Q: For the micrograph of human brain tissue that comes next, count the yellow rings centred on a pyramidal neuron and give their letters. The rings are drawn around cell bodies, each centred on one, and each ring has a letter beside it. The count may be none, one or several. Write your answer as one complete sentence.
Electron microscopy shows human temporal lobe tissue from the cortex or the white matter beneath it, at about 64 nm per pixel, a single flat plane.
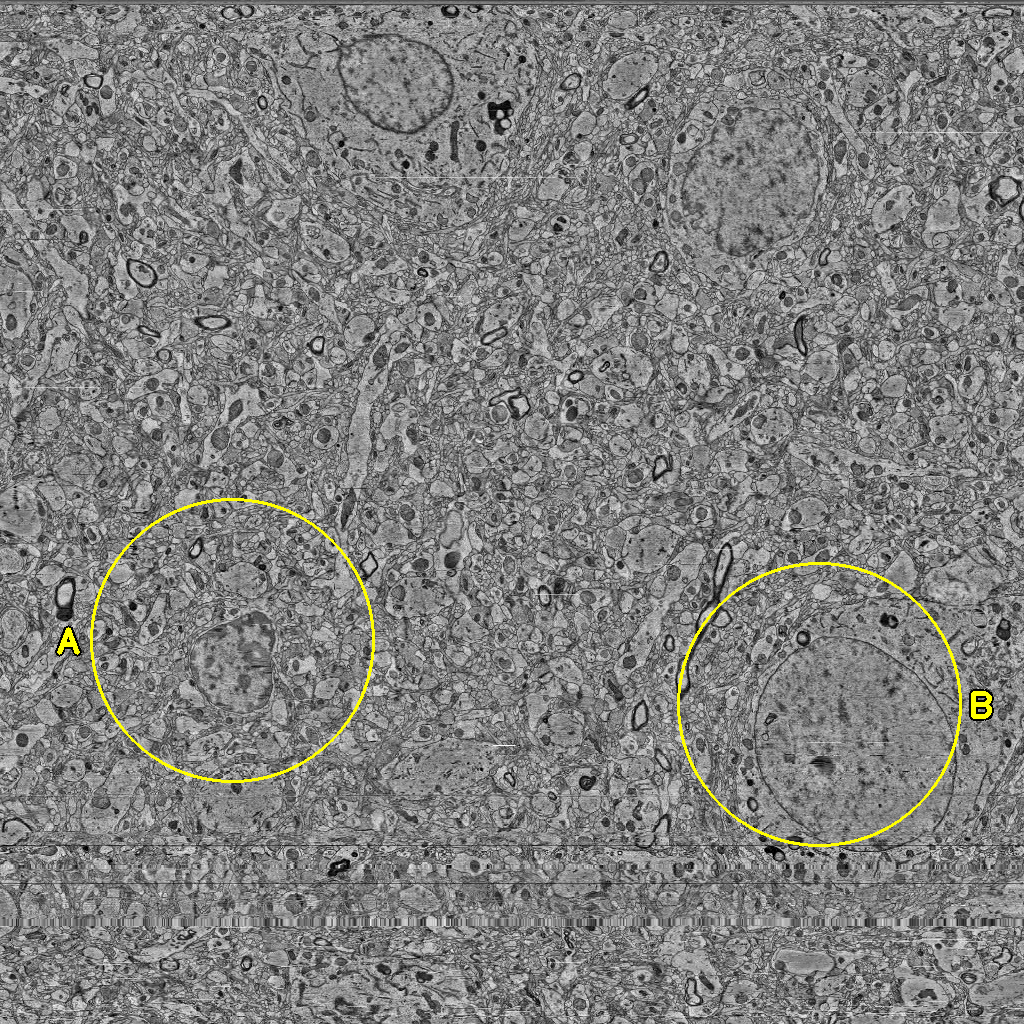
Only one ring is centred on a pyramidal neuron in the micrograph, and it is ring B.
